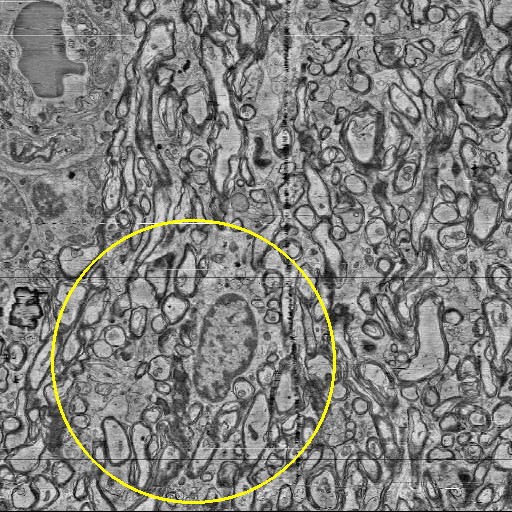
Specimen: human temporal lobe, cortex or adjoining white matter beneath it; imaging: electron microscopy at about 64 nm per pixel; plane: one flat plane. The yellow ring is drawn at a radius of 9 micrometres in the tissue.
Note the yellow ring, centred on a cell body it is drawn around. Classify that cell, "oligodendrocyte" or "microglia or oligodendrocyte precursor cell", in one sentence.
The cell the ring is centred on is a microglial cell or oligodendrocyte precursor cell.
